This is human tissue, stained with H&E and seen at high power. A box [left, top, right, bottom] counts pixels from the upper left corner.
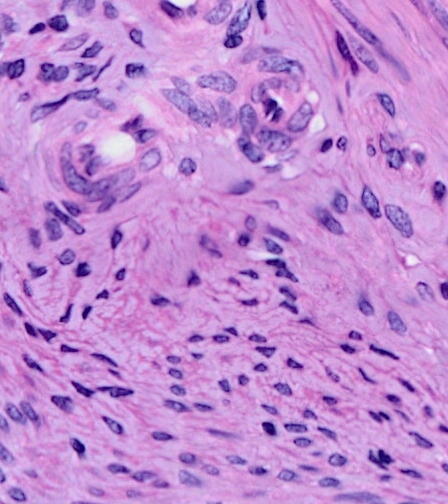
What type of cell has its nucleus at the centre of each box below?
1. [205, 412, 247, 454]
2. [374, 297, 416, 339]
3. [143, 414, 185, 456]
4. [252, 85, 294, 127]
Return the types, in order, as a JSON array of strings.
["smooth muscle cell", "smooth muscle cell", "smooth muscle cell", "endothelial cell"]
